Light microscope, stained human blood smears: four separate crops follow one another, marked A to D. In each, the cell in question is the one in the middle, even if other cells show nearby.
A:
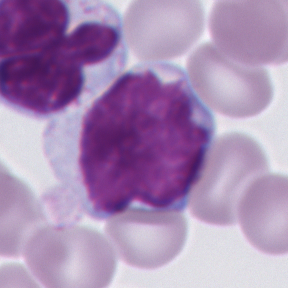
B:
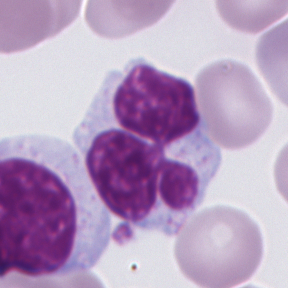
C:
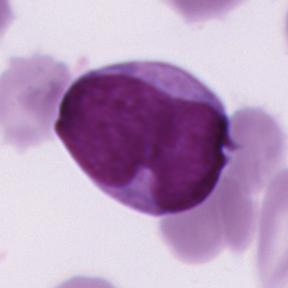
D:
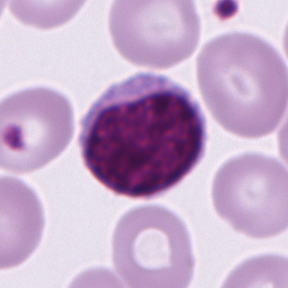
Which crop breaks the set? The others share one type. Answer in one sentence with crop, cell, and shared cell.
Crop C differs from its companions, showing a myeloblast where they show large granular lymphocytes.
